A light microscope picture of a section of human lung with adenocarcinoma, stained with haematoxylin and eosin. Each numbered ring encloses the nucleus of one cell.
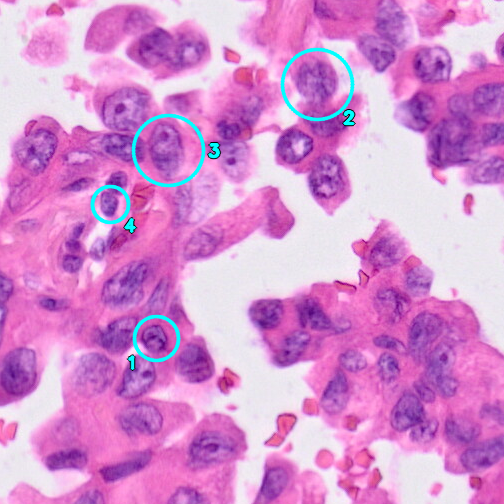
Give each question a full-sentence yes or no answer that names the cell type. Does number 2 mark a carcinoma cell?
Yes, in this section the cell with number 2 is a carcinoma cell.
